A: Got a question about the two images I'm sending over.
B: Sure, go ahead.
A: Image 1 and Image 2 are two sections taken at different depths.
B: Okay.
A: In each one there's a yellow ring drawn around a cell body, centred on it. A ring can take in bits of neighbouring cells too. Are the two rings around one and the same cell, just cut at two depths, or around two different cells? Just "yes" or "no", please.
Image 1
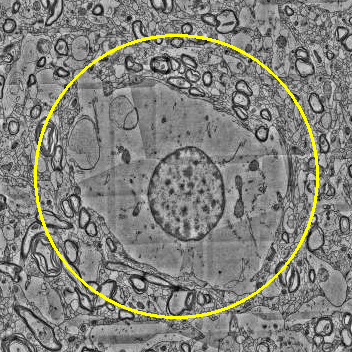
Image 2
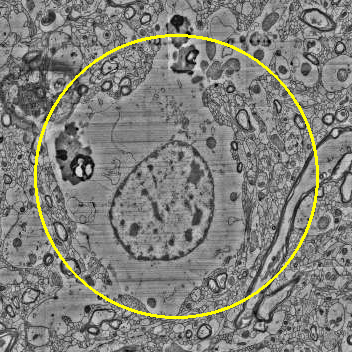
no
